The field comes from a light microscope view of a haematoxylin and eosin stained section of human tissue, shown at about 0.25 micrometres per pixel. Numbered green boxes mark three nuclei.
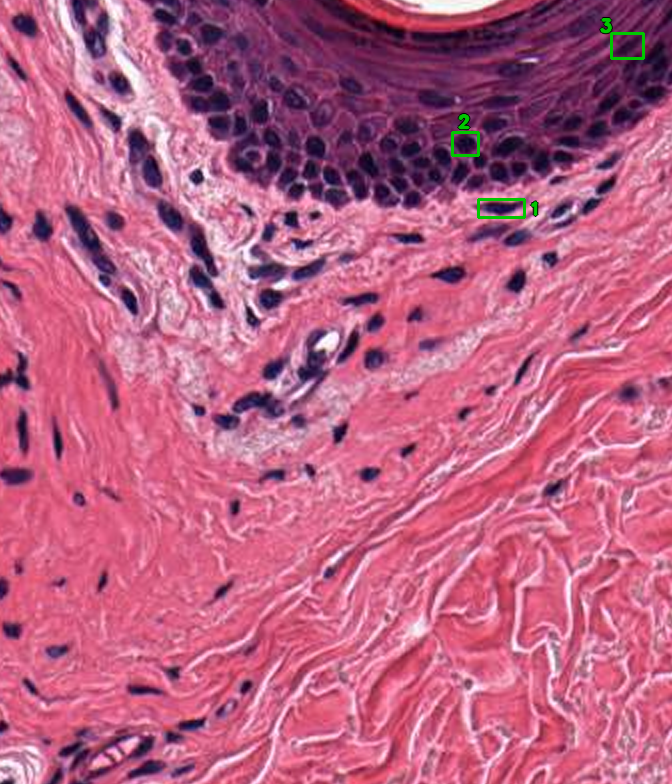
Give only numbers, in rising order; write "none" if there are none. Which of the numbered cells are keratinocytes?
2, 3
